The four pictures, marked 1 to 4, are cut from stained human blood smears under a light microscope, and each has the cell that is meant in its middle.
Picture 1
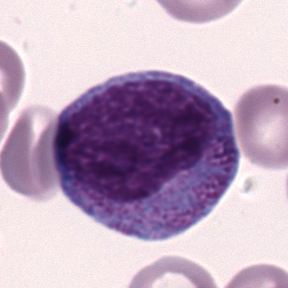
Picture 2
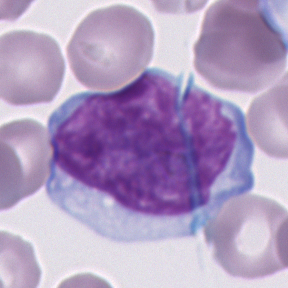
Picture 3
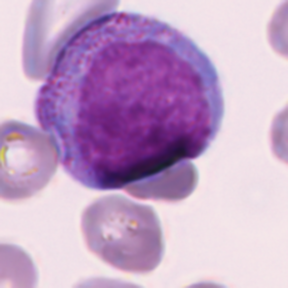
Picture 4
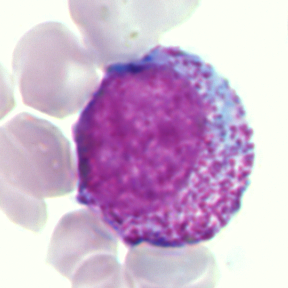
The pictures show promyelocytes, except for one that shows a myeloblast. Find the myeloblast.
2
